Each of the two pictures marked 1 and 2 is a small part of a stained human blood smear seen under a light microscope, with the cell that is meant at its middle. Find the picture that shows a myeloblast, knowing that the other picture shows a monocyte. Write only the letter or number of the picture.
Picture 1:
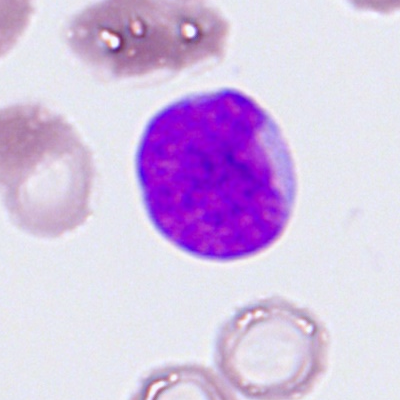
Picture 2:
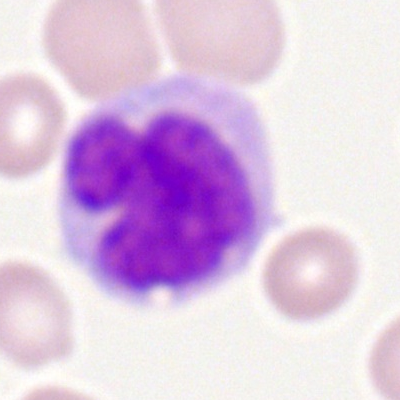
1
